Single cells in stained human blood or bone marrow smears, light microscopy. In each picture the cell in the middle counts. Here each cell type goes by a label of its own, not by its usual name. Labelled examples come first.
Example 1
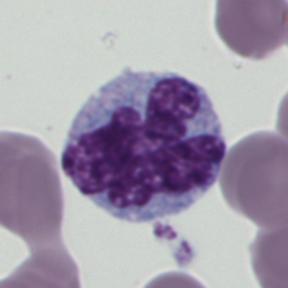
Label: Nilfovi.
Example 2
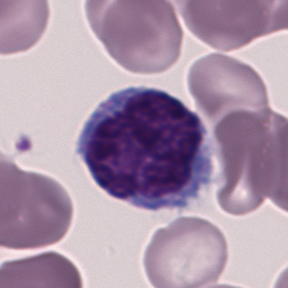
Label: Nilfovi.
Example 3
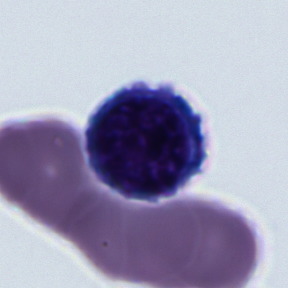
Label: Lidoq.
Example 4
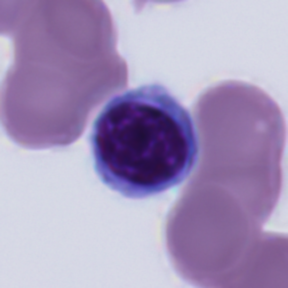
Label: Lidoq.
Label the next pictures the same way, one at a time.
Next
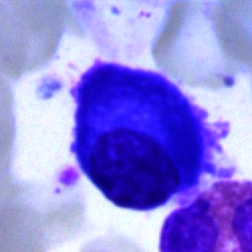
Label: Lidoq.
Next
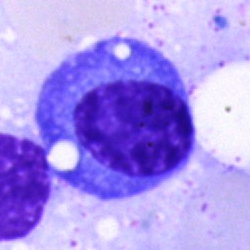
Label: Lidoq.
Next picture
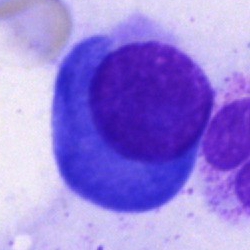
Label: Lidoq.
